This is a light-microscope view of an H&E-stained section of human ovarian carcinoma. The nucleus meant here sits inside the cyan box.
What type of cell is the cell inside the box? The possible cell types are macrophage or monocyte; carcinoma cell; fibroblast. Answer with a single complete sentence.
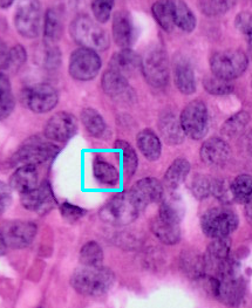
The correct response here is that the cell inside the box is a macrophage or monocyte.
